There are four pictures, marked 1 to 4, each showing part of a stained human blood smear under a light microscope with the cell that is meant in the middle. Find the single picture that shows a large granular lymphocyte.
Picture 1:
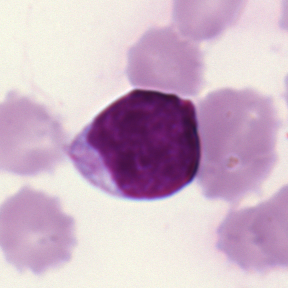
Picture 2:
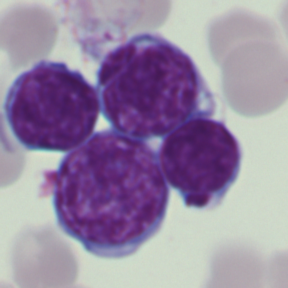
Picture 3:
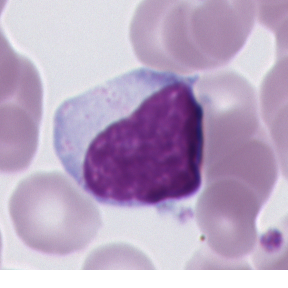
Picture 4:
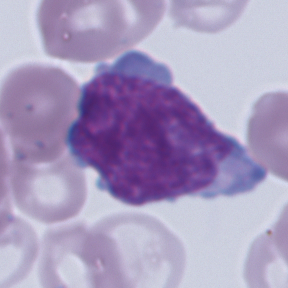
3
